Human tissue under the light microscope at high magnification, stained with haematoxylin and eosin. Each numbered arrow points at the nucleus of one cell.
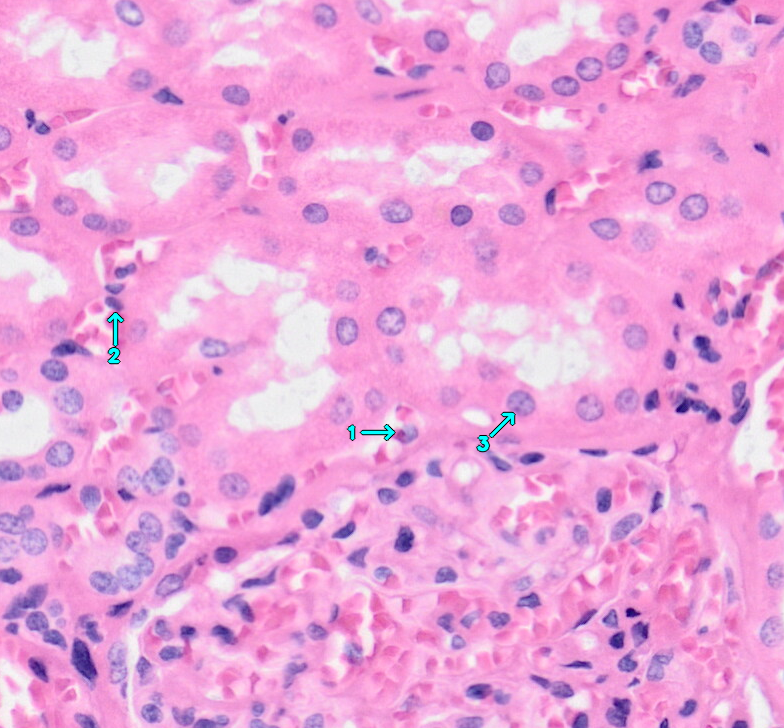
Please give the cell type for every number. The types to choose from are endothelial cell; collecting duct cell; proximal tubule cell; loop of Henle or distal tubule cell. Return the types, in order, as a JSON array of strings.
["endothelial cell", "endothelial cell", "proximal tubule cell"]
